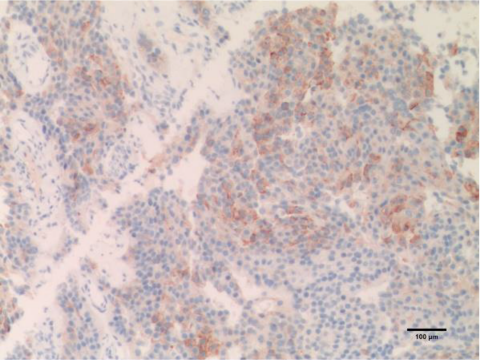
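Tumor cells lie in solid sheets and nests separated by thin fibrovascular strands and clear spaces. The cells are small to medium sized and fairly uniform, with round, blue-stained nuclei and modest cytoplasm. In many clusters the cytoplasm takes a brown stain, sometimes accentuated at the cell borders, while other groups of cells remain blue, so staining is patchy across the field. The intervening stroma is pale with scattered elongated nuclei and a few small vessels.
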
